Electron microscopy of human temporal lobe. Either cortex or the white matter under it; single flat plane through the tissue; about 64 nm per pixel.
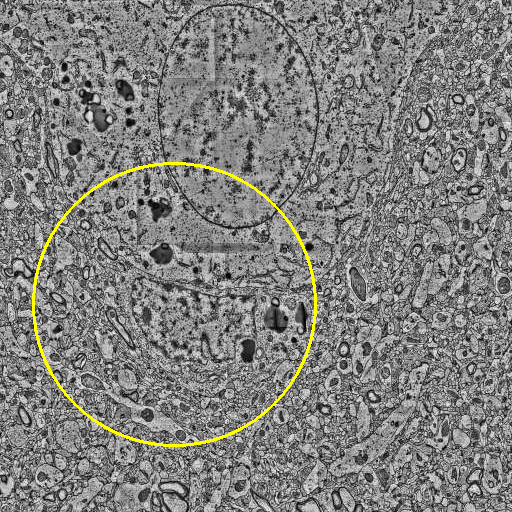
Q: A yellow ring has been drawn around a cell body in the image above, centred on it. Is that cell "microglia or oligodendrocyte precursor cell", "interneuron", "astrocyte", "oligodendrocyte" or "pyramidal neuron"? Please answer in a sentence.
The ring surrounds the cell body of an interneuron.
